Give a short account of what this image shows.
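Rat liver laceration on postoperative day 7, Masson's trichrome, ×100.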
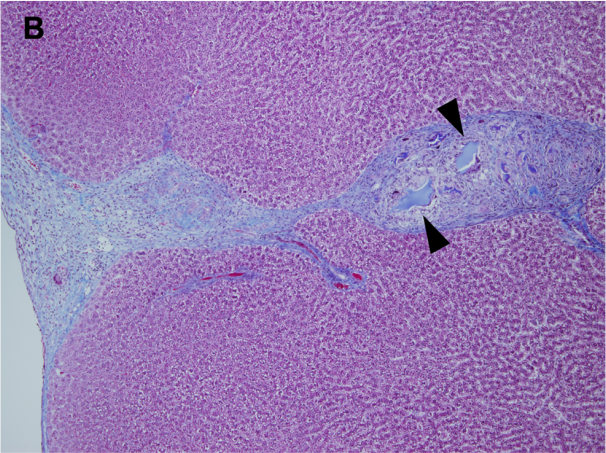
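On the right the band widens into a cellular nodule of blue fibrous tissue holding pale, glassy, irregular fragments of foreign material. Cells crowd around these fragments within the nodule. The hepatocyte plates on either side keep their ordinary cord-like arrangement.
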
